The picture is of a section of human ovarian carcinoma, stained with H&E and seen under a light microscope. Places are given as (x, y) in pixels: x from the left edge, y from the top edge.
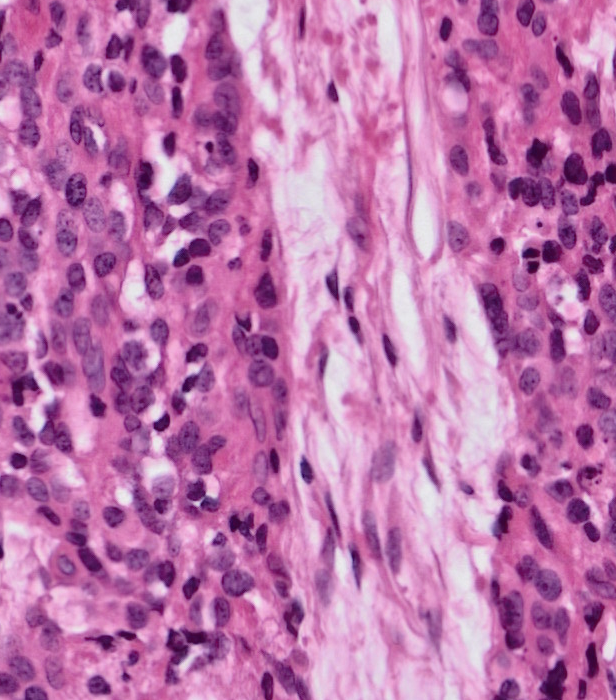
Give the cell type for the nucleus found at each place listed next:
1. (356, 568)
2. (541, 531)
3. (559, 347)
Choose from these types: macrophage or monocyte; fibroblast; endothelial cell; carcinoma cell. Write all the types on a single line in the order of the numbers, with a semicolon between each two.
fibroblast; endothelial cell; carcinoma cell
